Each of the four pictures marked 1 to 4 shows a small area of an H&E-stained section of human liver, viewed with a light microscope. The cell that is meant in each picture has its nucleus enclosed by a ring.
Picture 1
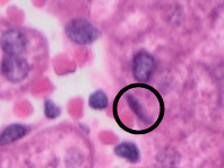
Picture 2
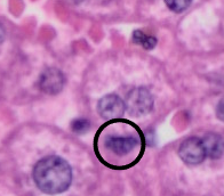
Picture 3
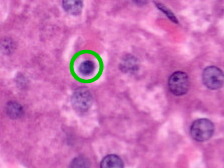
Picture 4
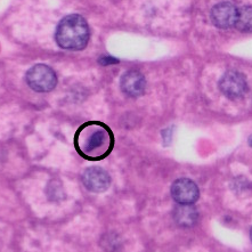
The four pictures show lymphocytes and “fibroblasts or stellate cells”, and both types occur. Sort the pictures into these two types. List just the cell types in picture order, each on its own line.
fibroblast or stellate cell
fibroblast or stellate cell
lymphocyte
fibroblast or stellate cell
